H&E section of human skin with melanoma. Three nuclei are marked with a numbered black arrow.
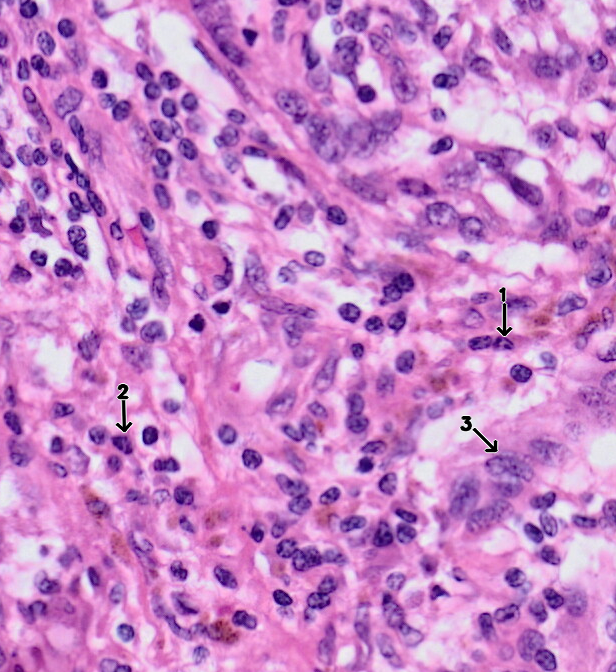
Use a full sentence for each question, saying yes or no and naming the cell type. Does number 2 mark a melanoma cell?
No, cell 2 represents a plasma cell rather than a melanoma cell.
